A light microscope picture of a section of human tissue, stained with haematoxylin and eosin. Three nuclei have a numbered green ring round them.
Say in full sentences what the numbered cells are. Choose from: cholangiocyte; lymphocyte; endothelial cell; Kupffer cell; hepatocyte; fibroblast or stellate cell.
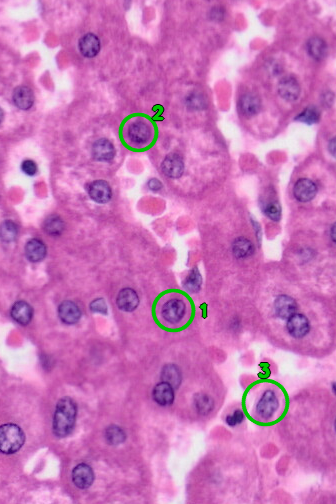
Cells 1 and 2 are hepatocytes. Cell 3 is a Kupffer cell.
